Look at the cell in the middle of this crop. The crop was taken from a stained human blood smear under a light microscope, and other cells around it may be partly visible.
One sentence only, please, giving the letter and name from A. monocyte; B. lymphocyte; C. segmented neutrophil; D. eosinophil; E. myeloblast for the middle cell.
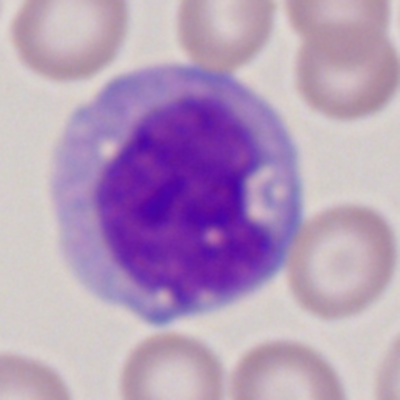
The correct choice is option A, which identifies the middle cell as a monocyte.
